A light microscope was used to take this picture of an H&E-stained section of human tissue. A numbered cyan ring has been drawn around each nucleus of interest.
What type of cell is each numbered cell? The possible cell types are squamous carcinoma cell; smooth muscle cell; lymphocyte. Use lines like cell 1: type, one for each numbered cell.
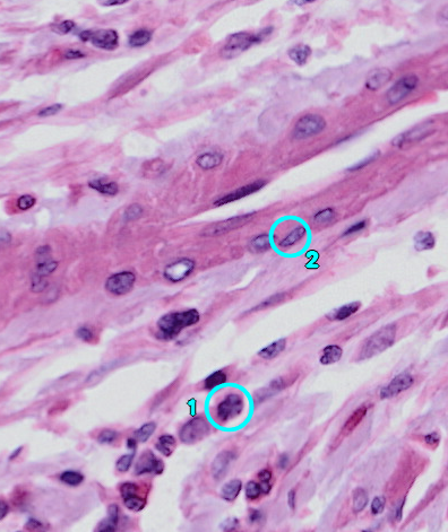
cell 1: lymphocyte
cell 2: smooth muscle cell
